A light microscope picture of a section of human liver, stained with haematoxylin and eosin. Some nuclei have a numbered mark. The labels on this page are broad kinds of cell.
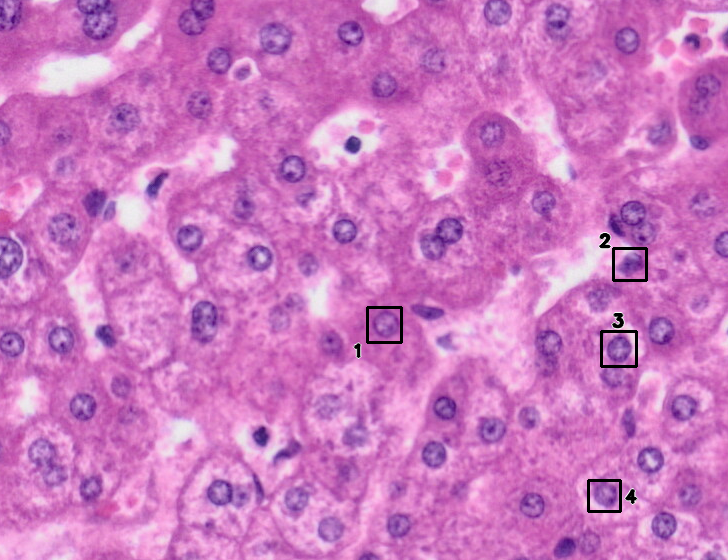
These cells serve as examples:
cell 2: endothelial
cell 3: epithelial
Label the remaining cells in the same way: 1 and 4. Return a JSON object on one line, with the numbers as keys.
{"1": "epithelial", "4": "epithelial"}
